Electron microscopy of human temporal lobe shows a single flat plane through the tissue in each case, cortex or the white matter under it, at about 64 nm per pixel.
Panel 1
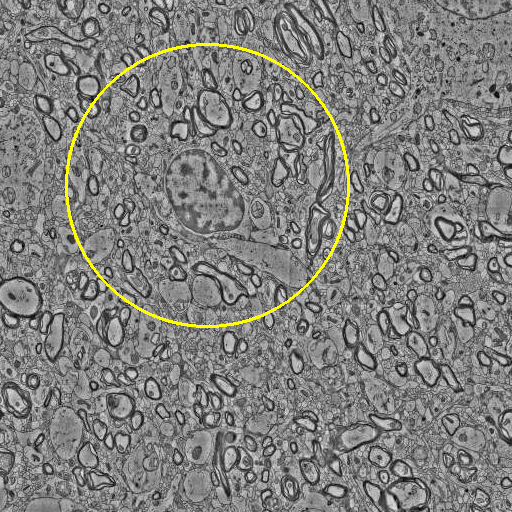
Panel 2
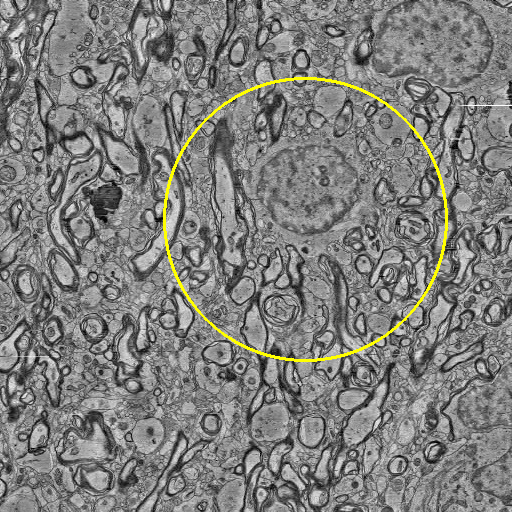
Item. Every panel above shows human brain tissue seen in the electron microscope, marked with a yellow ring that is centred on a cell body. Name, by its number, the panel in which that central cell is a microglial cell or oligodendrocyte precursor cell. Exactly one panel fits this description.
1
